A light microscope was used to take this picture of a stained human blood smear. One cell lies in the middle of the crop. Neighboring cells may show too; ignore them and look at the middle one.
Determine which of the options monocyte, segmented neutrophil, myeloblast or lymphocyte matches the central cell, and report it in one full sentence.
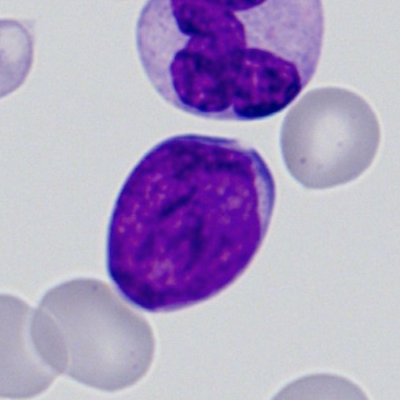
Framed in the middle of the crop is a myeloblast.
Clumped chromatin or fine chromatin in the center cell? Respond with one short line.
Its chromatin is finely dispersed rather than coarsely clumped.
